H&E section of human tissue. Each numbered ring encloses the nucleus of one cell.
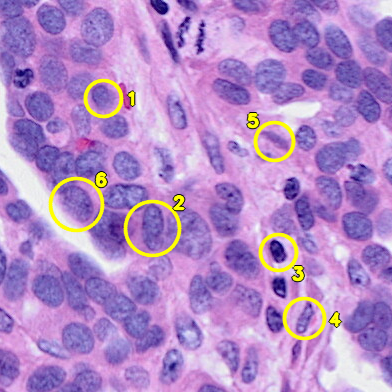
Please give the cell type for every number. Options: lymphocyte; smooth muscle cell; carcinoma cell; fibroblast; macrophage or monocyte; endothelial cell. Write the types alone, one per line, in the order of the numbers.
carcinoma cell
carcinoma cell
lymphocyte
fibroblast
fibroblast
carcinoma cell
